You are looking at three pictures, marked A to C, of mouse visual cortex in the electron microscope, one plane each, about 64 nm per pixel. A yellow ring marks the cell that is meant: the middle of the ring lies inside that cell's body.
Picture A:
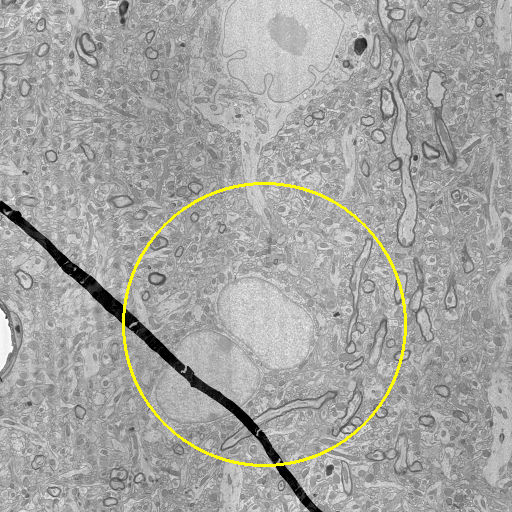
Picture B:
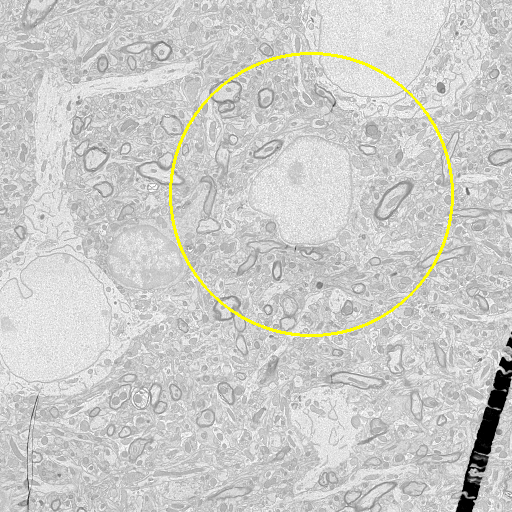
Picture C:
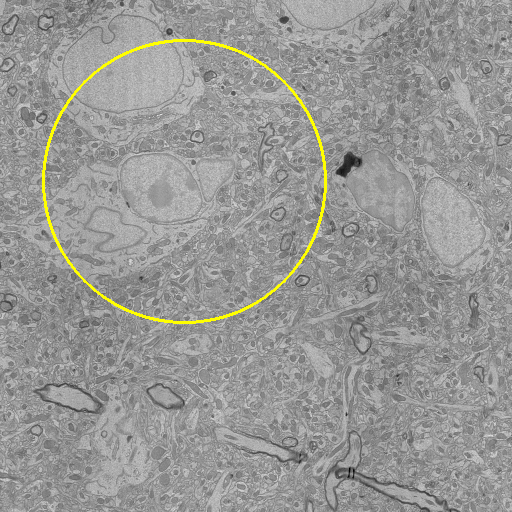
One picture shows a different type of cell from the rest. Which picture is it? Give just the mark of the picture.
C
